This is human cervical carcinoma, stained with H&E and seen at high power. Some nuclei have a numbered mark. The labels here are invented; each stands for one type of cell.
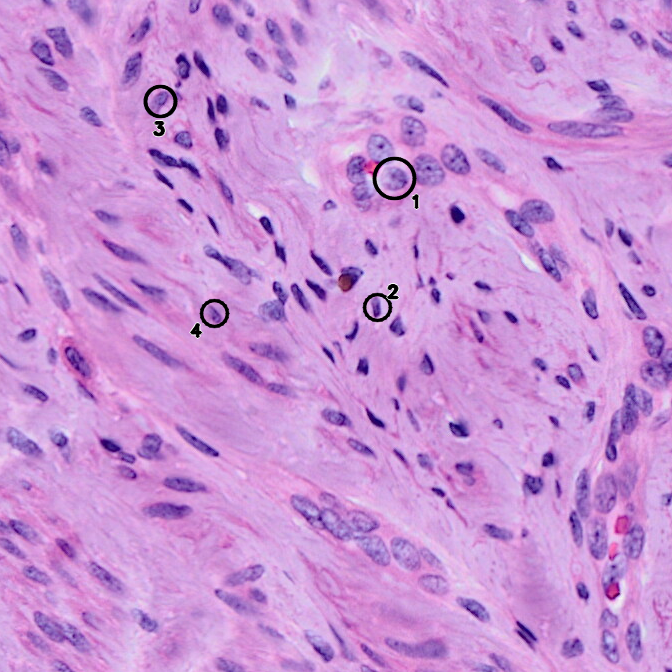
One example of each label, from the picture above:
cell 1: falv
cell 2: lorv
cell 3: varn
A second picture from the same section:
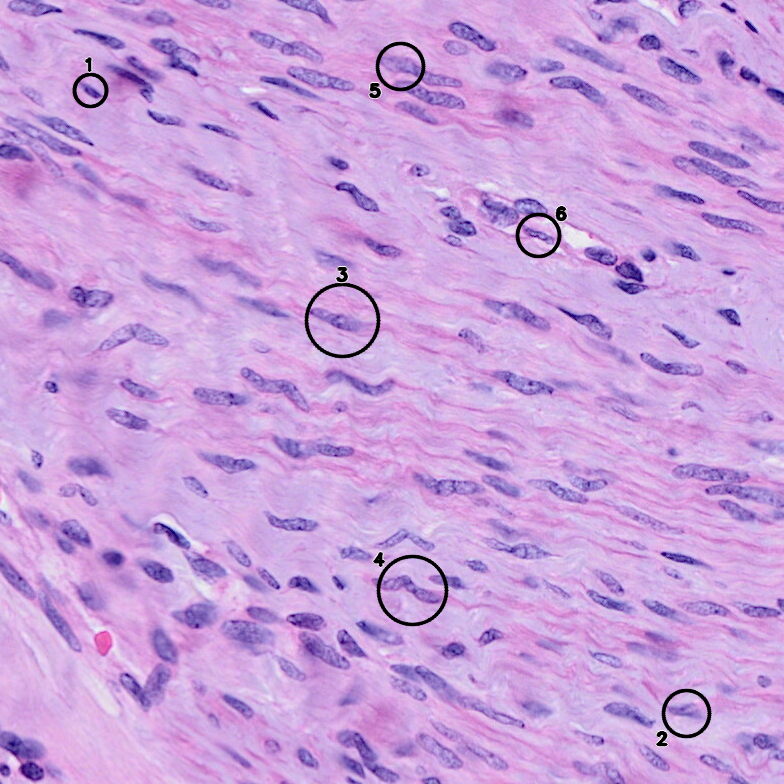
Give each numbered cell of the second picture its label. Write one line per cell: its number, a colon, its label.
1: lorv
2: varn
3: varn
4: varn
5: varn
6: falv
